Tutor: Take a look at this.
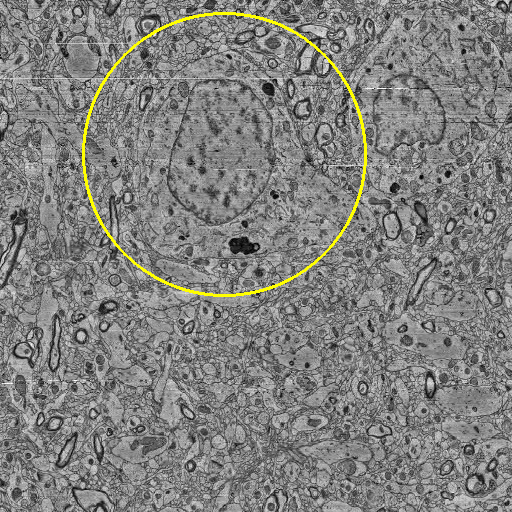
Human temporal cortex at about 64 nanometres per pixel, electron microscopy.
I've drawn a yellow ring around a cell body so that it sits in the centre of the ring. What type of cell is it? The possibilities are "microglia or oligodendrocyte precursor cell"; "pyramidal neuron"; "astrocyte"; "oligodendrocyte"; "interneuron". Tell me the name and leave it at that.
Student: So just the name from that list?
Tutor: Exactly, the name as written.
pyramidal neuron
